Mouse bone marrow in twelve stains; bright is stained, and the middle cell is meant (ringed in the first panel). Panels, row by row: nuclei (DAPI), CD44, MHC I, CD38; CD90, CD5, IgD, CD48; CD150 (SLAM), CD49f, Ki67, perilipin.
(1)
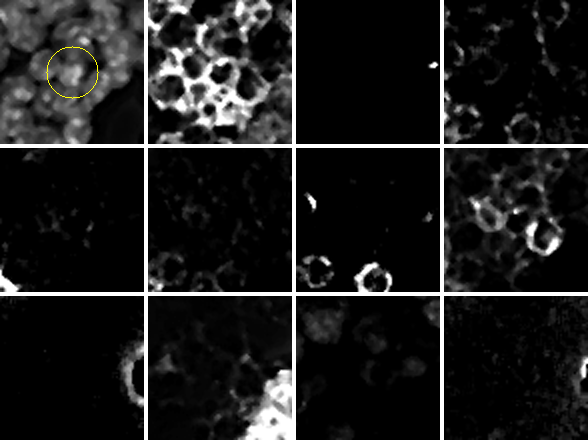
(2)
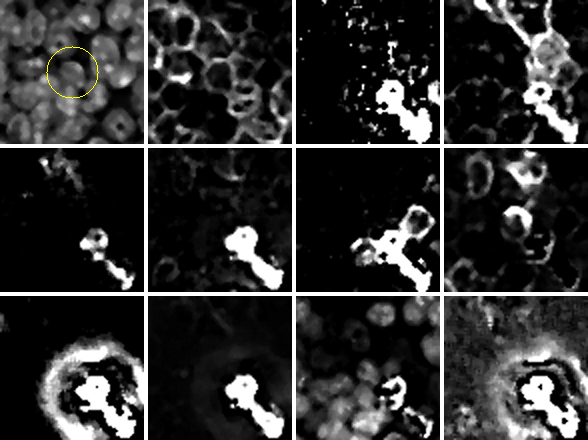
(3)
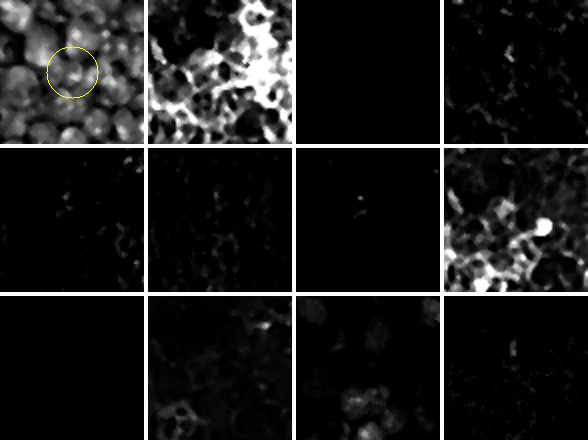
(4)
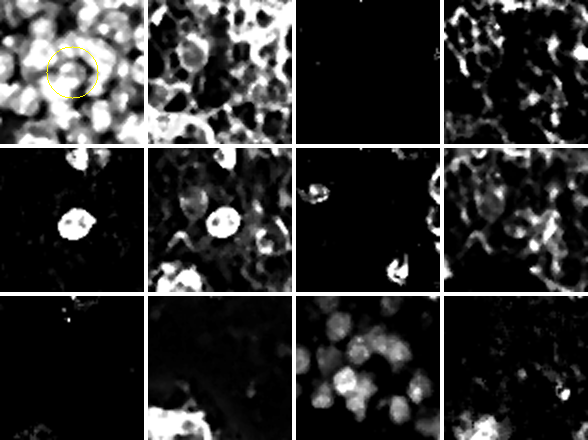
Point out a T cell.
That is picture 4.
